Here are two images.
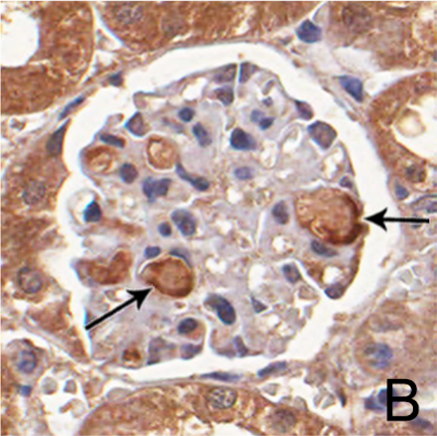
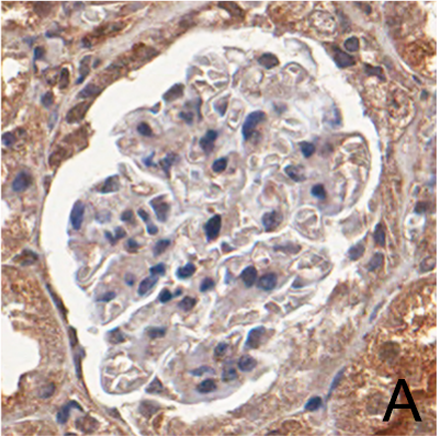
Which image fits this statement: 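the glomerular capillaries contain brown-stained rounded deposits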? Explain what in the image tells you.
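First image: several rounded dark brown masses lie within capillary lumina of the tuft. Second image: the tuft is pale with blue nuclei and no brown masses.
Hence: the first image.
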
